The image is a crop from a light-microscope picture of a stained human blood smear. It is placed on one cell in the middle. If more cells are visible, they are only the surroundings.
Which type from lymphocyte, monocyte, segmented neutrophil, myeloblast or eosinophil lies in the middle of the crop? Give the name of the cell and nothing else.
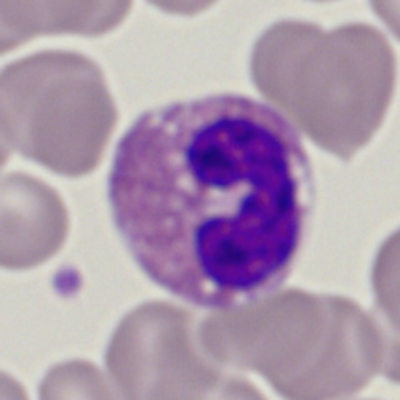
eosinophil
